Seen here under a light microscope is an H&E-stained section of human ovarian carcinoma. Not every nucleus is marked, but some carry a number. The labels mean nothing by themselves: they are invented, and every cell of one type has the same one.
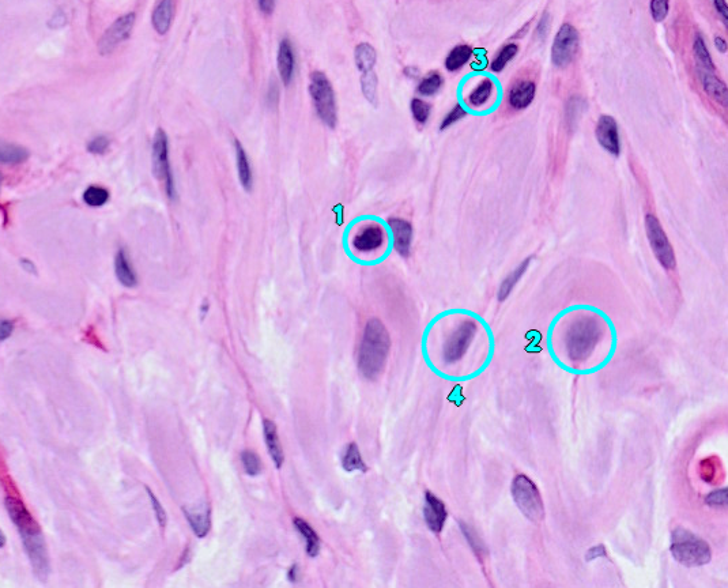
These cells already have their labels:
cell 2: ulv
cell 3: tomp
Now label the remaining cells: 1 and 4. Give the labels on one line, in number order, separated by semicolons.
tomp; ulv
